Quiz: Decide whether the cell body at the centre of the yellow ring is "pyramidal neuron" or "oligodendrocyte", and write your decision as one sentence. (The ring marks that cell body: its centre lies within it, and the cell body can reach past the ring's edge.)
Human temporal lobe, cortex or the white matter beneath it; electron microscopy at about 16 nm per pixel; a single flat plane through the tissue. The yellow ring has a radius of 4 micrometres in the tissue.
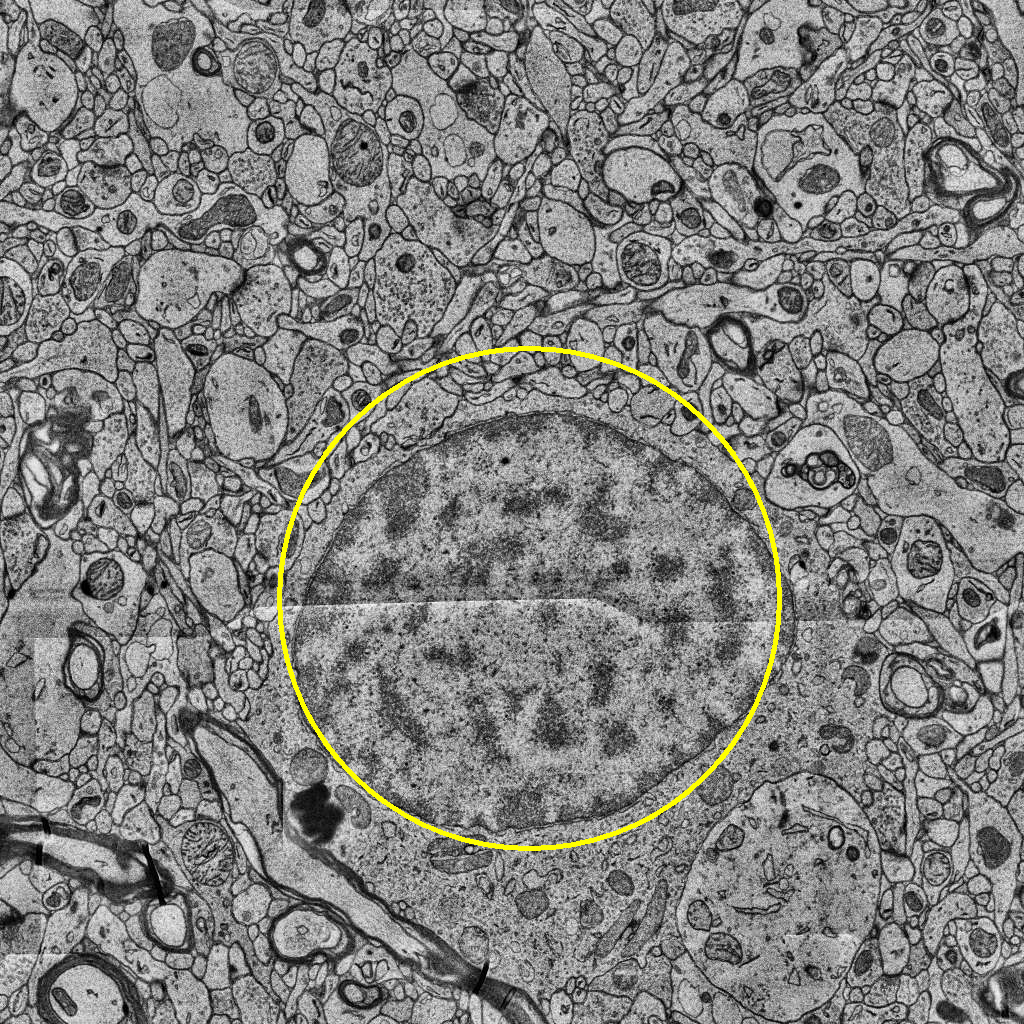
The cell holding the ring's centre is an oligodendrocyte.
